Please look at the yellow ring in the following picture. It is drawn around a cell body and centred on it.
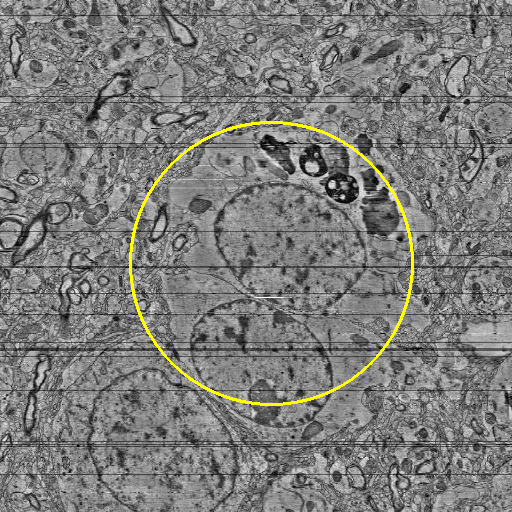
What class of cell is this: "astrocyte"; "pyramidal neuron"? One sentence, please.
The ring surrounds the cell body of an astrocyte.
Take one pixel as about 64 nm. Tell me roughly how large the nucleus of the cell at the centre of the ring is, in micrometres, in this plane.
About 10 by 8 micrometres in this plane.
